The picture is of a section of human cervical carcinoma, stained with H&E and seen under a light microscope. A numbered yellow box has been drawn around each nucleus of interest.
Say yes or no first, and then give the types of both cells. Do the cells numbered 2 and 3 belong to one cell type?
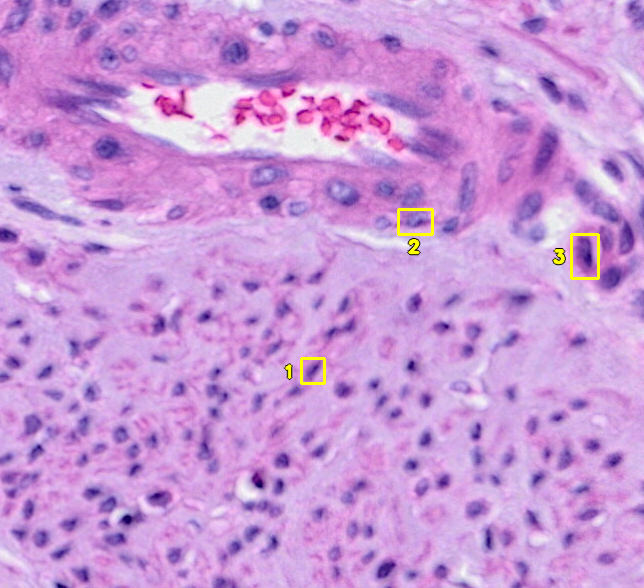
No, sorry, cell 2 is a smooth muscle cell and cell 3 is an endothelial cell.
